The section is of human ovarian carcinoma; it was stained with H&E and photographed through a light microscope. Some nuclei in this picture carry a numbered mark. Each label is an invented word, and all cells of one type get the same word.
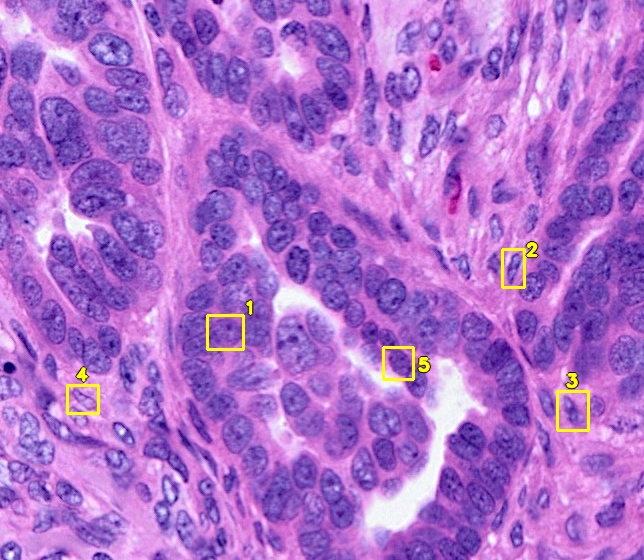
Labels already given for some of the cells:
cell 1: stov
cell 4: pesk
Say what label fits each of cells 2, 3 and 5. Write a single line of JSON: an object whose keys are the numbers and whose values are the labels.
{"2": "pesk", "3": "pesk", "5": "stov"}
